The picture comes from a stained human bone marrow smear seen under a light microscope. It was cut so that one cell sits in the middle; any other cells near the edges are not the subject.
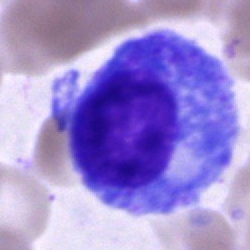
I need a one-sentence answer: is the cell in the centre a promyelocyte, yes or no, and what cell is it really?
Yes, the cell at the middle of the field is to be classed as a promyelocyte.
